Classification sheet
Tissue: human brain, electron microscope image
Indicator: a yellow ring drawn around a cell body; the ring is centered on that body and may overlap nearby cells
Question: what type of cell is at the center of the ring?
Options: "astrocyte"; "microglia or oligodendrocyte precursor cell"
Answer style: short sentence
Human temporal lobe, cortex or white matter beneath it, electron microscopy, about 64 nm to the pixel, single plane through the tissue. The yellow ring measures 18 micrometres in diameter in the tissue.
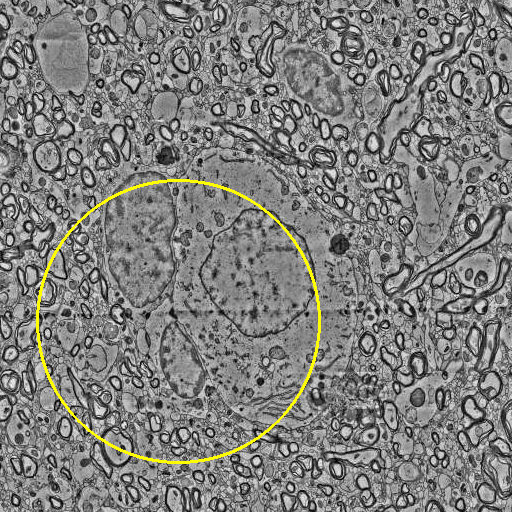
At the ring's center is a microglial cell or oligodendrocyte precursor cell.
